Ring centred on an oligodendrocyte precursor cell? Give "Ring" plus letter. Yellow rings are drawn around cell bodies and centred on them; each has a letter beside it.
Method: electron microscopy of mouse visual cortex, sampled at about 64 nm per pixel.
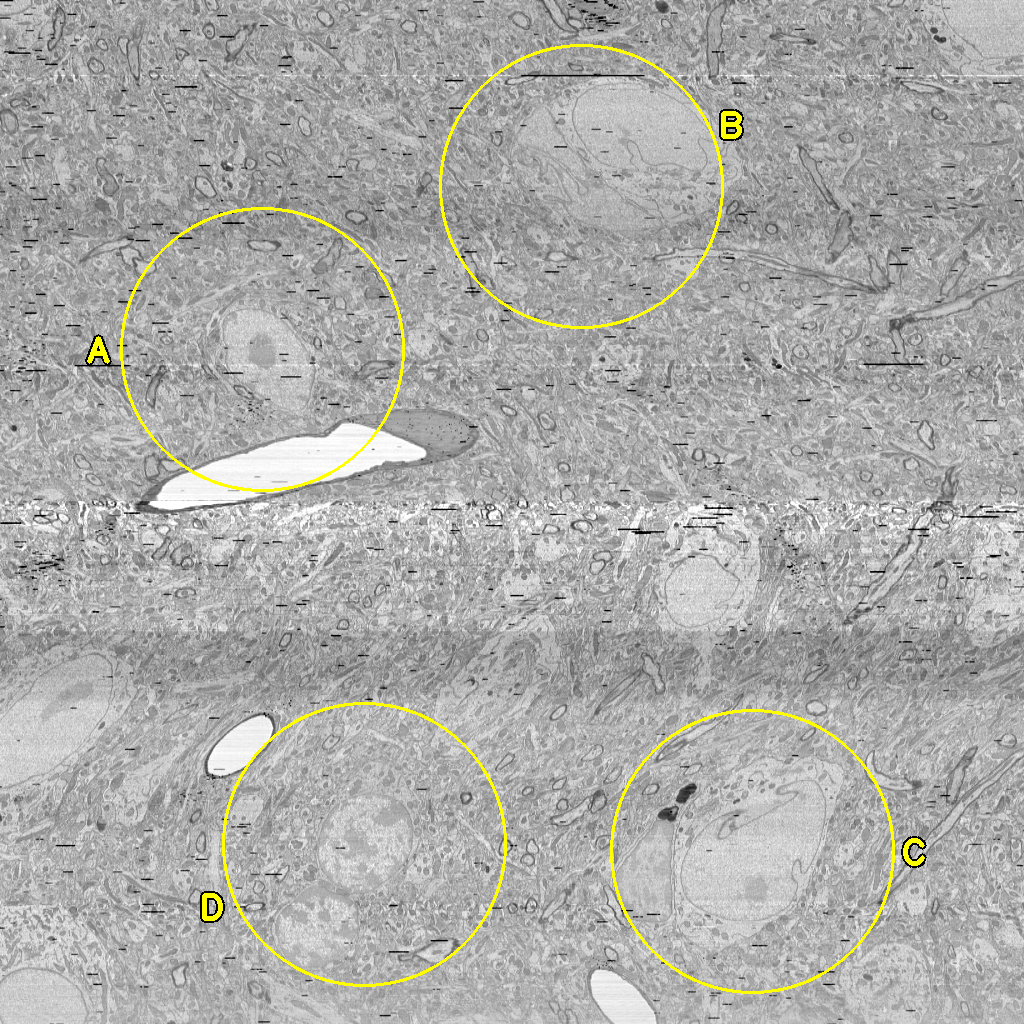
Ring B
